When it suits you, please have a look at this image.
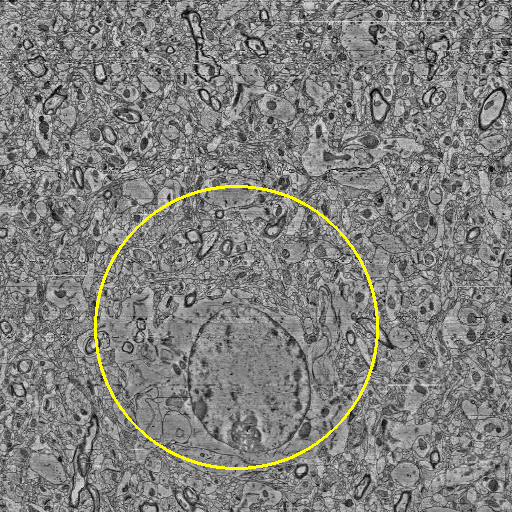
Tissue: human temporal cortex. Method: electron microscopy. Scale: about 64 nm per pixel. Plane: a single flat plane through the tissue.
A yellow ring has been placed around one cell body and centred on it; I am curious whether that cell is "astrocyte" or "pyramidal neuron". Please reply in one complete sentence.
The ringed cell, an astrocyte, has its body at the centre of the yellow ring.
